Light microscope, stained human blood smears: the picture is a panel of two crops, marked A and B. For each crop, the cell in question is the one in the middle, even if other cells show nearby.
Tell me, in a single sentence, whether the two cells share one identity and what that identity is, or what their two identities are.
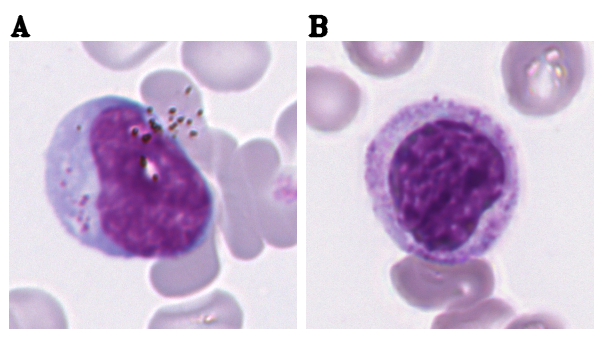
No, crop A presents a large granular lymphocyte, whereas crop B presents a myelocyte.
